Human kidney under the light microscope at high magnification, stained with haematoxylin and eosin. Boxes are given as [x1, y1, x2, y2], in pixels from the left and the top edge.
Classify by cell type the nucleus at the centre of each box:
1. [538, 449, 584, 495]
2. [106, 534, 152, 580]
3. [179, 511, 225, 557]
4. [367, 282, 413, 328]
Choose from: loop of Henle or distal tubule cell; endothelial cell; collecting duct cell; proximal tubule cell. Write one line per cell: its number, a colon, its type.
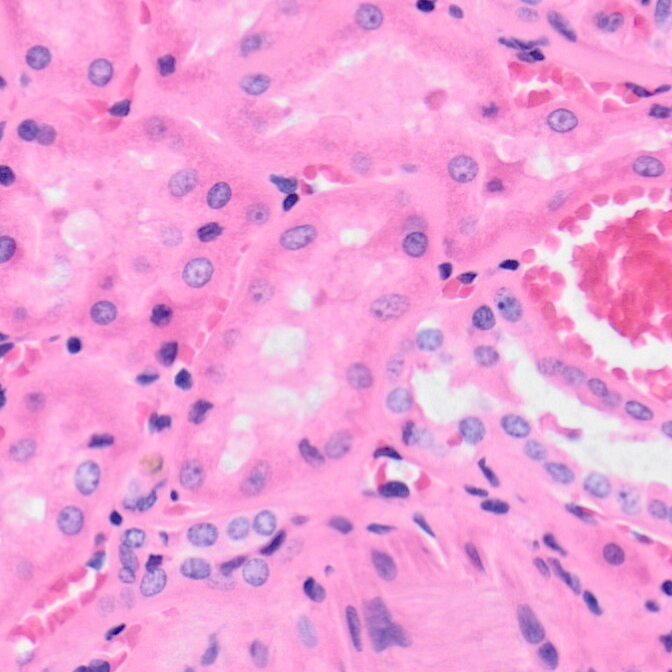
1: collecting duct cell
2: collecting duct cell
3: collecting duct cell
4: proximal tubule cell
